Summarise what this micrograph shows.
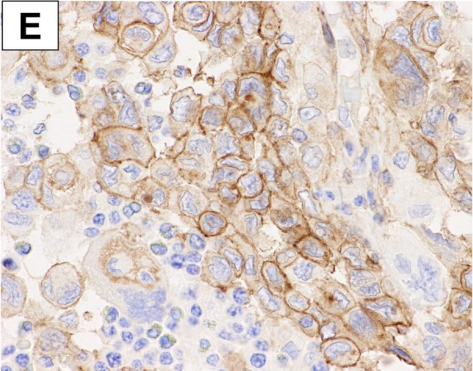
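Here the large anaplastic cancer cells are outlined in brown, the staining strongest along their cell borders and lighter through the cytoplasm, while their big pale nuclei are counterstained blue. Smaller round cells with dark blue nuclei between them stay unstained, which sets the large stained tumor cells off clearly.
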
